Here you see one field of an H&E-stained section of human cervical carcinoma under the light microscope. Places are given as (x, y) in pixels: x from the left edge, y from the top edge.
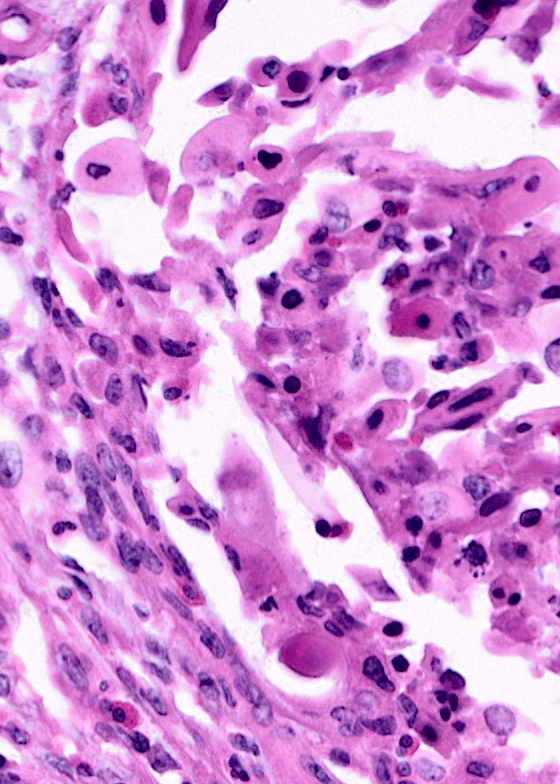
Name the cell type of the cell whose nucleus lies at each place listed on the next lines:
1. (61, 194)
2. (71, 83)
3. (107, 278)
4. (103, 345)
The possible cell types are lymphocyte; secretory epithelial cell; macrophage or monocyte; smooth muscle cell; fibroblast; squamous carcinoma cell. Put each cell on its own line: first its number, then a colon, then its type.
1: macrophage or monocyte
2: fibroblast
3: macrophage or monocyte
4: macrophage or monocyte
